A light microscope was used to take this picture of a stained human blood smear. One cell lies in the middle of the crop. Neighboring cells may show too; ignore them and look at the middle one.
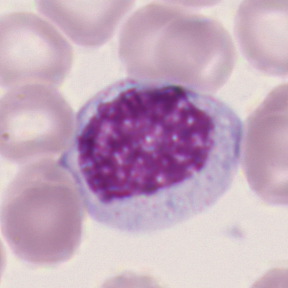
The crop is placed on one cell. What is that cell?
myelocyte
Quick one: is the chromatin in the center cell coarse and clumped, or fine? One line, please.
Take a look at the chromatin, which is coarsely clumped.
